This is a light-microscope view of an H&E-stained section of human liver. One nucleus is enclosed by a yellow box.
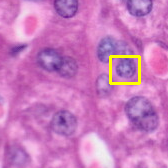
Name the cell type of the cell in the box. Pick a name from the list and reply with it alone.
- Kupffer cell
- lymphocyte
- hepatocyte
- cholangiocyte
cholangiocyte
